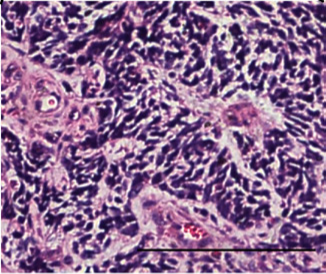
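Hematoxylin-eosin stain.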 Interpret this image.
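Tumor nests with small vessels in the stroma. Crowded tumor cells with dark, elongated to oval nuclei and scant cytoplasm form sheets and nests, nuclei often molded and streaming. Thin strands of pink fibrous stroma run between the nests and carry small thin-walled vessels containing red blood cells. Cell borders are indistinct and the nuclear to cytoplasmic ratio is high throughout.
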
